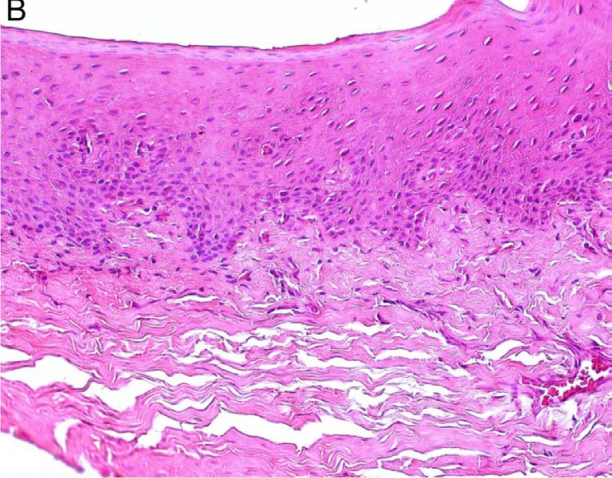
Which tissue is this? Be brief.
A: Parakeratinized squamous epithelium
